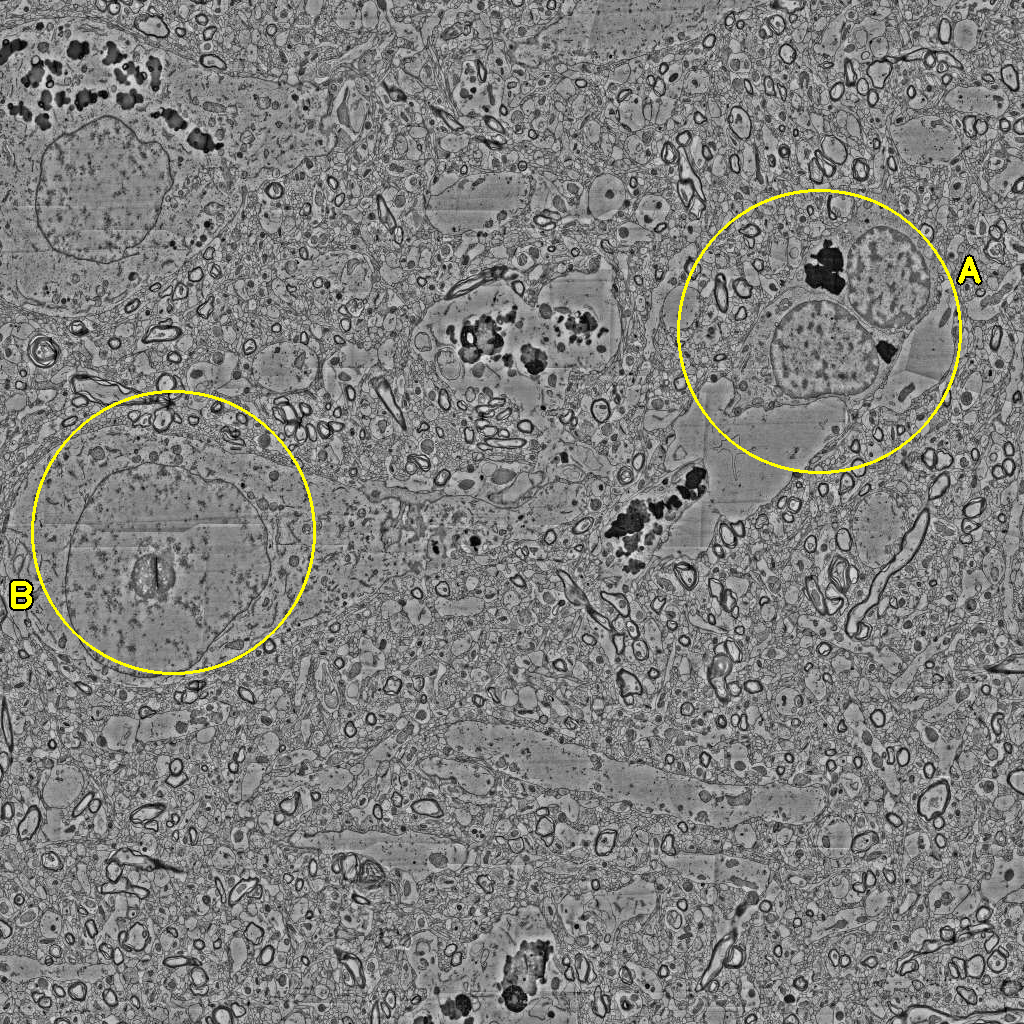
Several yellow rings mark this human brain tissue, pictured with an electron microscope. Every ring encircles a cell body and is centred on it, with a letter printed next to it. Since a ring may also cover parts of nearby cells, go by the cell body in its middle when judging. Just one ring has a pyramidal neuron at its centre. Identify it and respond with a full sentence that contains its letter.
The answer is ring B, whose centre rests on the cell asked for.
